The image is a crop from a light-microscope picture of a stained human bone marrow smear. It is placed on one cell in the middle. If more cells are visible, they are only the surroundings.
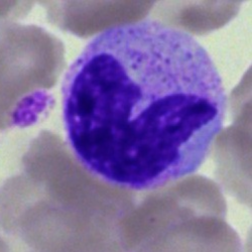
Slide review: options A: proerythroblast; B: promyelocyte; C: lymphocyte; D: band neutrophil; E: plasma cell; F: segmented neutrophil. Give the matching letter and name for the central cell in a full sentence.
Option D is correct; the cell in the middle is a band neutrophil.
